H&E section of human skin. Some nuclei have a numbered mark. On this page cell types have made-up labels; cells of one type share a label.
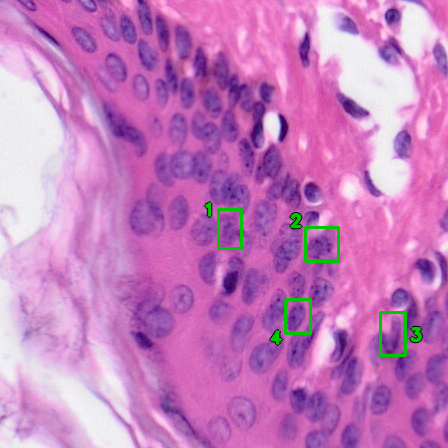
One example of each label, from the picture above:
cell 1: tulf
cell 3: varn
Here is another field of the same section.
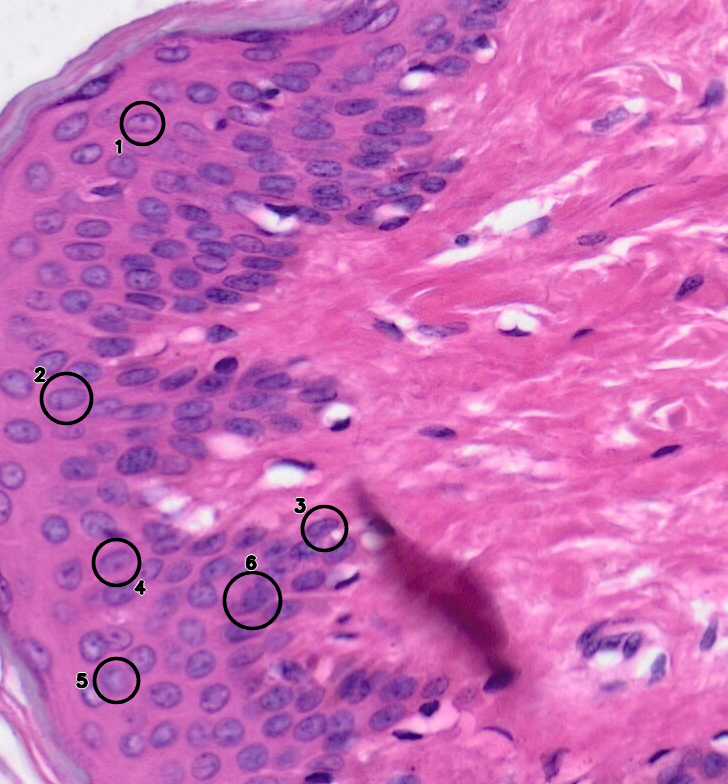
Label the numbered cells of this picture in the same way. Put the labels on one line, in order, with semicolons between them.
tulf; tulf; varn; tulf; tulf; varn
